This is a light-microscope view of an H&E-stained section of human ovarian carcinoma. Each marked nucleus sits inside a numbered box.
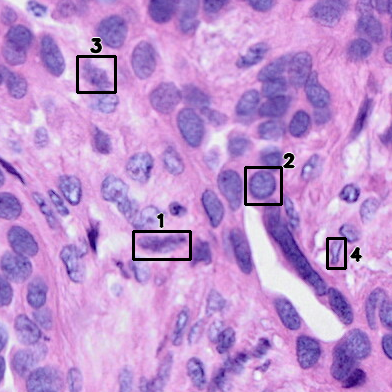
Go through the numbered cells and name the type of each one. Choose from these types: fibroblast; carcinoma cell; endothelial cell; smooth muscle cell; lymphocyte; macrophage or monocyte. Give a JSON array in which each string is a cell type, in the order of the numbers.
["fibroblast", "carcinoma cell", "fibroblast", "fibroblast"]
